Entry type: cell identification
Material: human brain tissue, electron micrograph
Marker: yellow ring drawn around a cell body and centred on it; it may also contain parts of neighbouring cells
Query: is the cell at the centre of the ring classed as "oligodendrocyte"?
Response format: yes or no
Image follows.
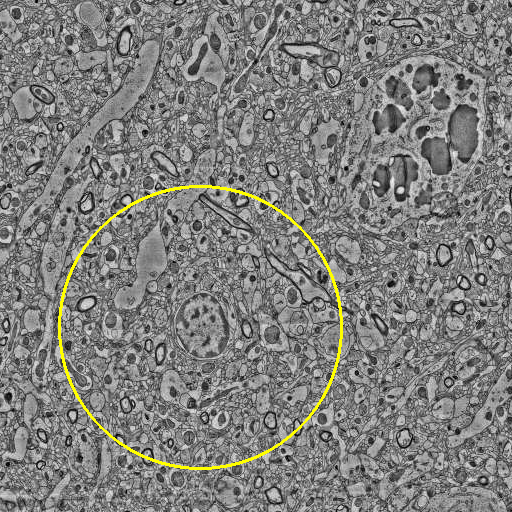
no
